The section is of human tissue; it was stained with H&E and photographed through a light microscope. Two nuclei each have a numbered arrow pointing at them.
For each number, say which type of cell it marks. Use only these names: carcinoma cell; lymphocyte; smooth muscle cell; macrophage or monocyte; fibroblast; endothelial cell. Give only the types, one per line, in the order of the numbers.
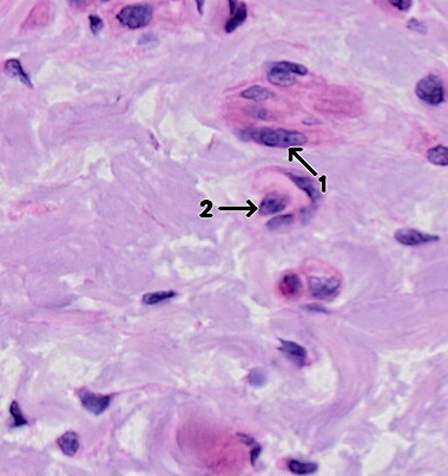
smooth muscle cell
endothelial cell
